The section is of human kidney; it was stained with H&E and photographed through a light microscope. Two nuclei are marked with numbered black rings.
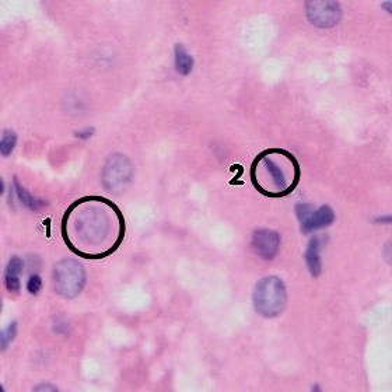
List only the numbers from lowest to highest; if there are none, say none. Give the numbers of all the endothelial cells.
2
